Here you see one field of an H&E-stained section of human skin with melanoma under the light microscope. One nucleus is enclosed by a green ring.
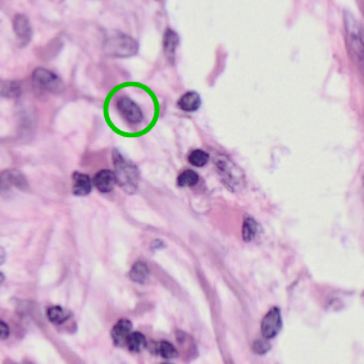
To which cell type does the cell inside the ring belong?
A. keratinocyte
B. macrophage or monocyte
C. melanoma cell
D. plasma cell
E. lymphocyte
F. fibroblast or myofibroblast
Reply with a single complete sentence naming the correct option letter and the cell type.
Option D is the correct one, since the cell inside the ring is a plasma cell.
